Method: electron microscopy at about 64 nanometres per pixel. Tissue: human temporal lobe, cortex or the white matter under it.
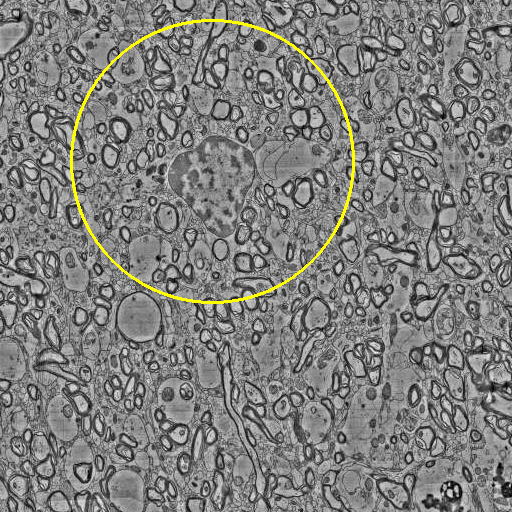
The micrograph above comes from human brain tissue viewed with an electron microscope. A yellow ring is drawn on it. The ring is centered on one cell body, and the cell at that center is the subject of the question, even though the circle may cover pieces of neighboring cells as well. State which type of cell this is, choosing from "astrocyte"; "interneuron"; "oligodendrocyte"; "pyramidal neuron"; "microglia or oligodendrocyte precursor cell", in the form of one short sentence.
The cell the ring is centered on is a microglial cell or oligodendrocyte precursor cell.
